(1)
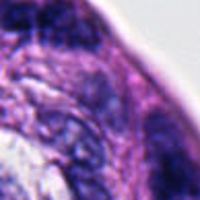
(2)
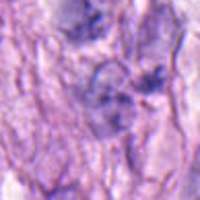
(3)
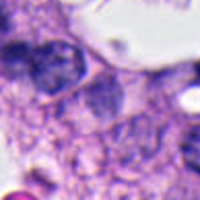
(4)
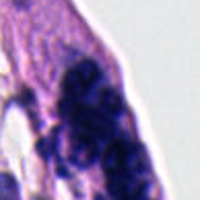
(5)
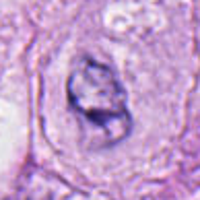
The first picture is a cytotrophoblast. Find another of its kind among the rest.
Picture 3.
